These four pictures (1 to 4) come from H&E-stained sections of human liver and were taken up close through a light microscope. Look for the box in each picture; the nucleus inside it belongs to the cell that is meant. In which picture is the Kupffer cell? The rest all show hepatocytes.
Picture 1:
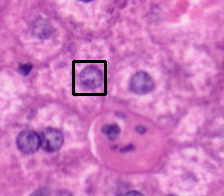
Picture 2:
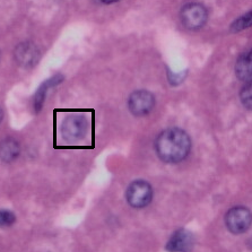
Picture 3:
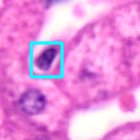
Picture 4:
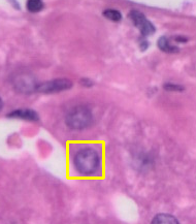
3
